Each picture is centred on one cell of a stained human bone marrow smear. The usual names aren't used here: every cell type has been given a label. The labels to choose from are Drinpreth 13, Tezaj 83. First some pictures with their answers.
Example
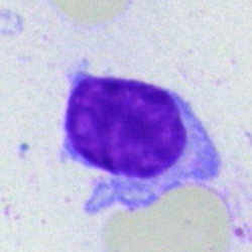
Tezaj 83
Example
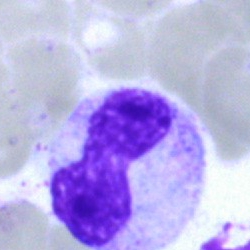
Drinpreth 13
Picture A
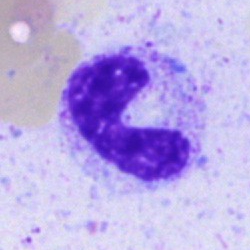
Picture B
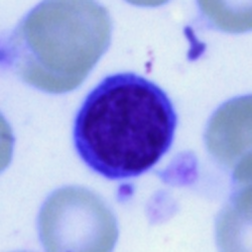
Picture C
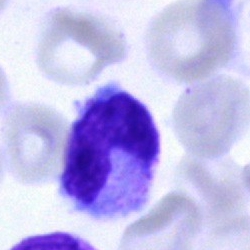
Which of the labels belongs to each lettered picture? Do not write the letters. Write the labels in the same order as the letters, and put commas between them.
Drinpreth 13, Tezaj 83, Drinpreth 13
